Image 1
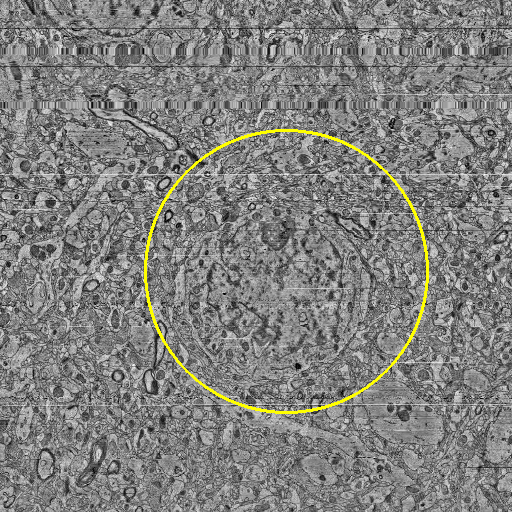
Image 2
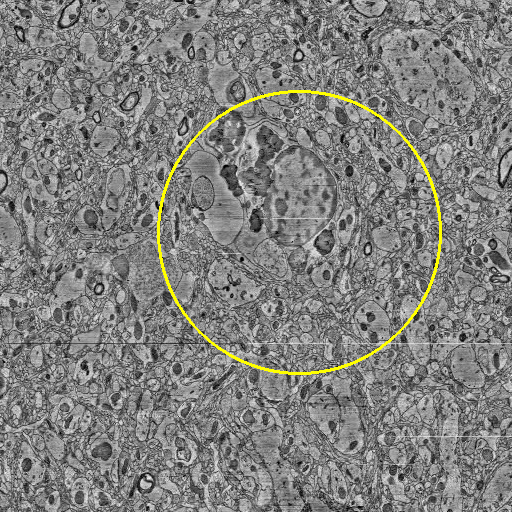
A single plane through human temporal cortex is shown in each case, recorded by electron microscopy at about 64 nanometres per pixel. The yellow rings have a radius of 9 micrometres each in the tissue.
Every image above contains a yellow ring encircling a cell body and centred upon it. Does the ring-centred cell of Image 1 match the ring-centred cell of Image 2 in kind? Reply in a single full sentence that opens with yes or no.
No, the cell at the ring's centre in Image 1 is a separate kind from that in Image 2.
